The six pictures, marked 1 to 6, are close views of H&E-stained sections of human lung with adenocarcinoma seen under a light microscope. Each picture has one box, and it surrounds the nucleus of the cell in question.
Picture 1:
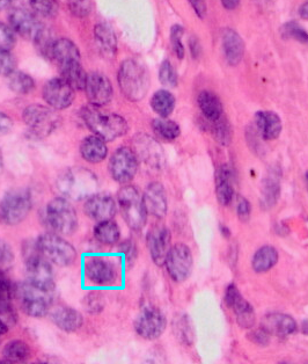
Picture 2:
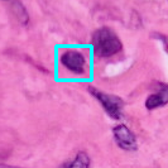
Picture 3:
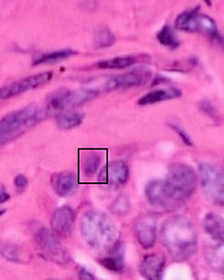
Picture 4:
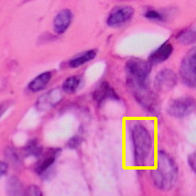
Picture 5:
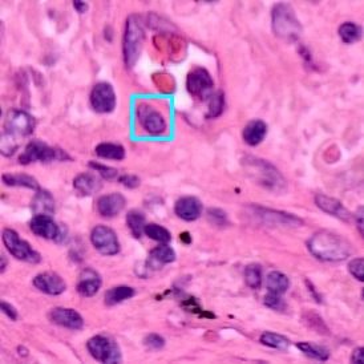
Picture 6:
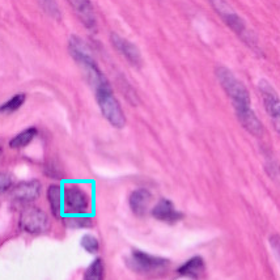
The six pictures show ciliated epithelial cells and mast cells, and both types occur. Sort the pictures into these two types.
1: ciliated epithelial cell
2: mast cell
3: ciliated epithelial cell
4: ciliated epithelial cell
5: mast cell
6: ciliated epithelial cell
